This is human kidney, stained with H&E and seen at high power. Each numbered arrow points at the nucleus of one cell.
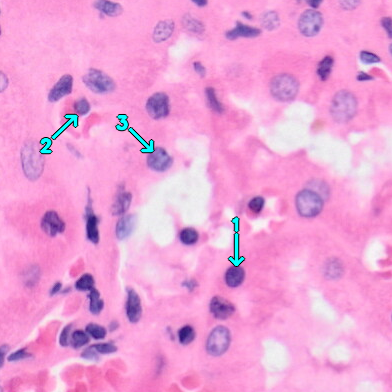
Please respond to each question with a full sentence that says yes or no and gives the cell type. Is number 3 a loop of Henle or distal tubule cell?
Yes, the cell given number 3 is a loop of Henle or distal tubule cell.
